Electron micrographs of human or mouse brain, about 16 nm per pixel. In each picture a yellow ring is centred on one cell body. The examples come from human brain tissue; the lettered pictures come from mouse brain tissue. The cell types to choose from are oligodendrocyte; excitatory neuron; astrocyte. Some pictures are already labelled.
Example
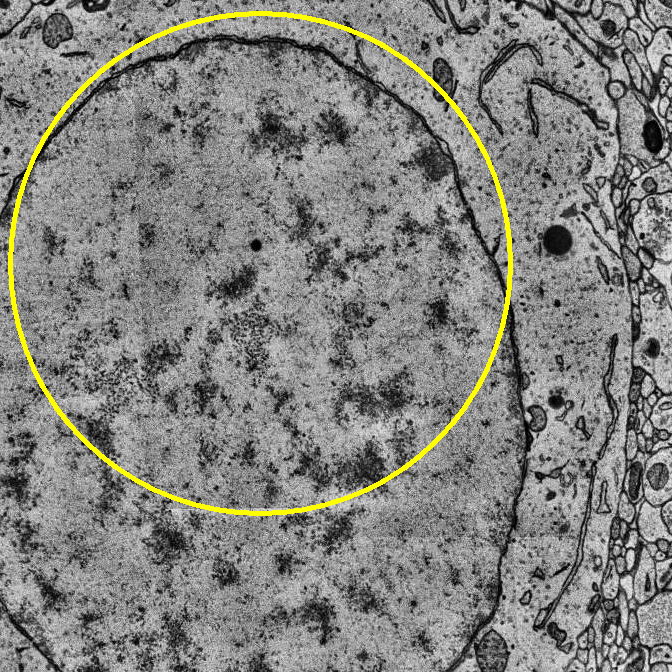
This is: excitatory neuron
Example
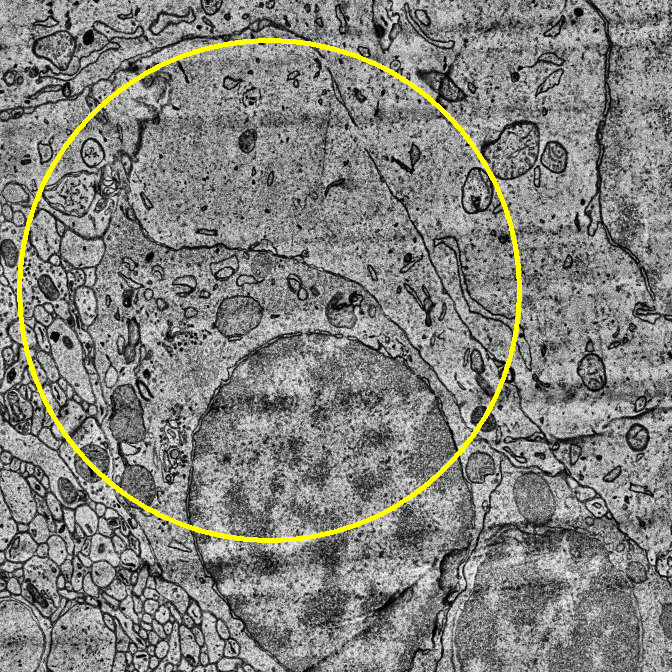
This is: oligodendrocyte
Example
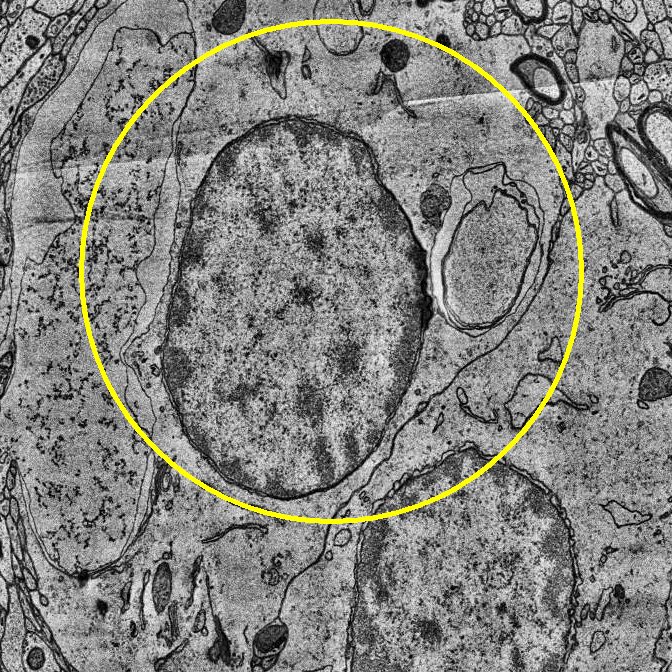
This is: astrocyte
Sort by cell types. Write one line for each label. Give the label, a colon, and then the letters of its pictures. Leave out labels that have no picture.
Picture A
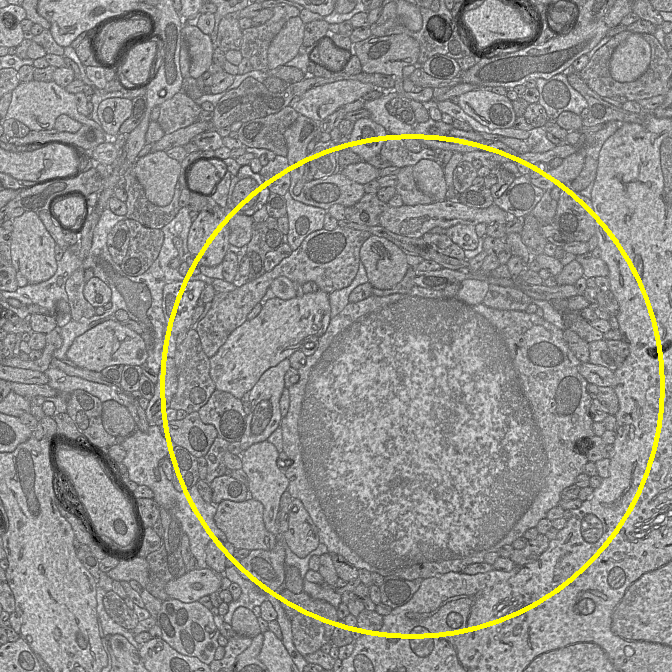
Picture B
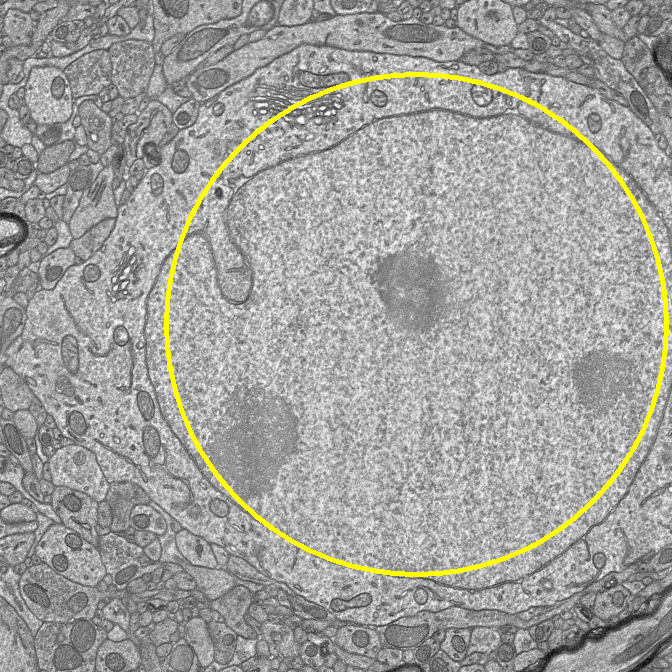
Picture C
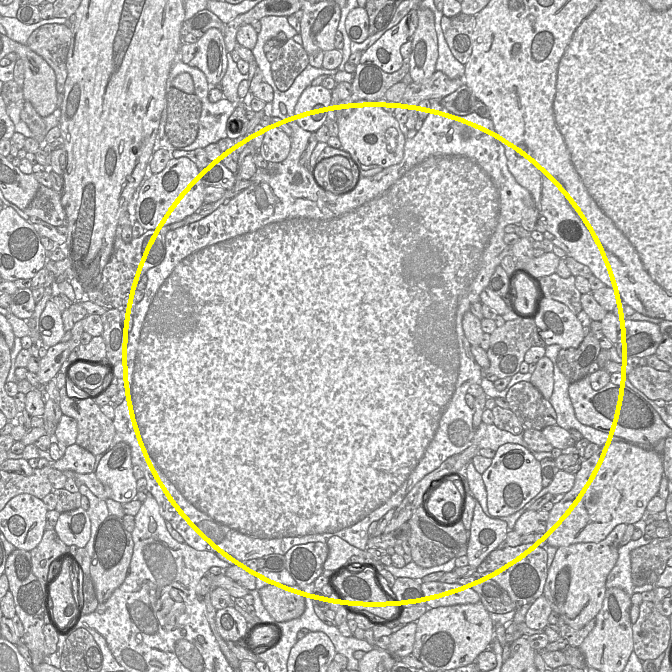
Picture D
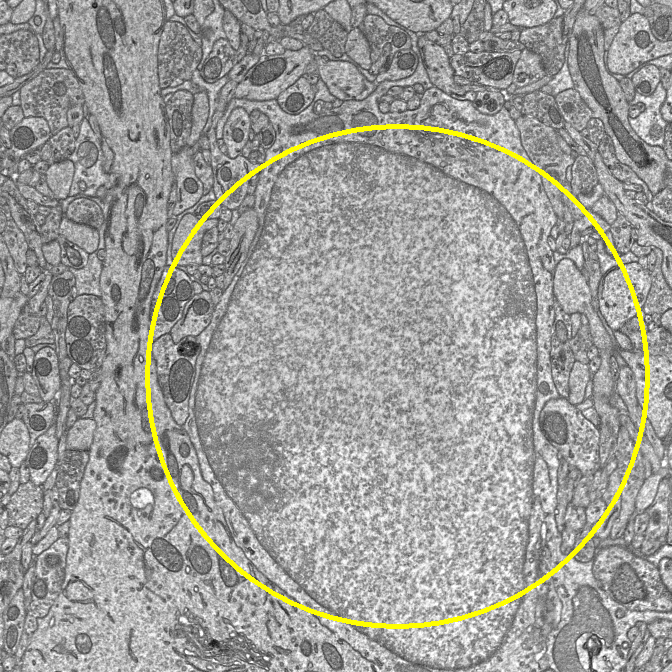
oligodendrocyte: A
excitatory neuron: B
astrocyte: C, D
